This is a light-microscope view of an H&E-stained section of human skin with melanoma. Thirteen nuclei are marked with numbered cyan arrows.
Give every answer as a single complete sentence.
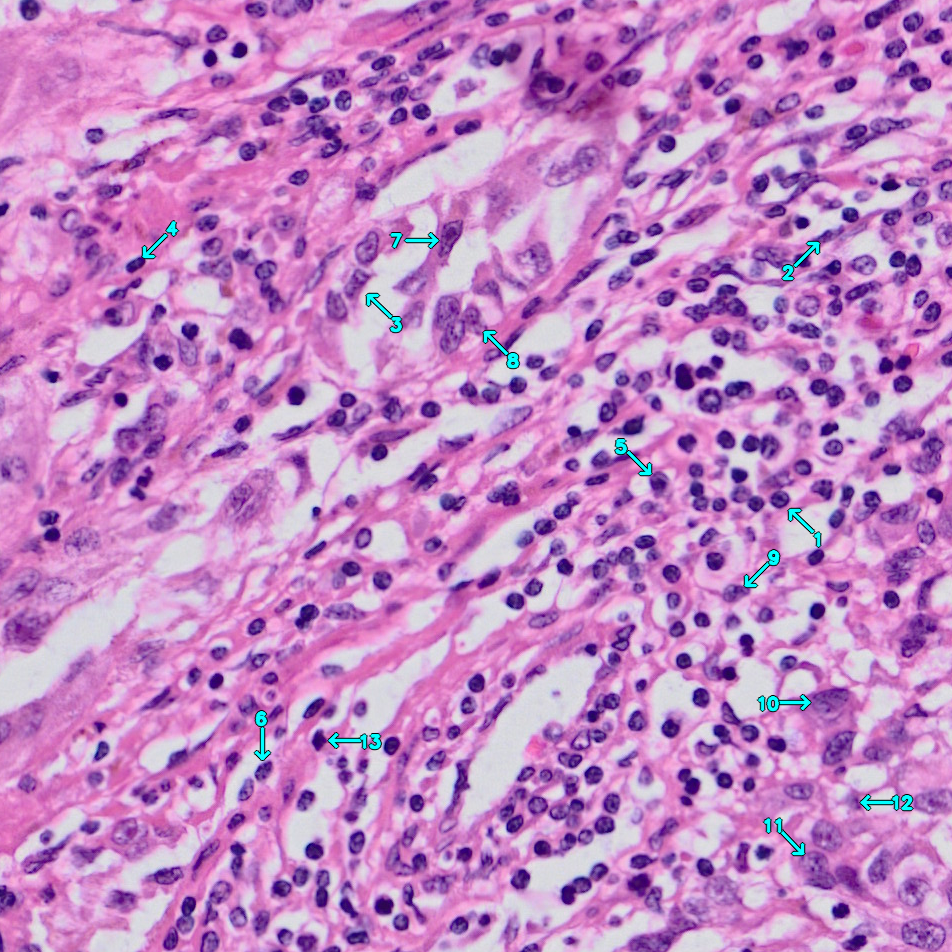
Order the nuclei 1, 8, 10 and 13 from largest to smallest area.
Largest first, the order by area is 10, 8, 1, 13.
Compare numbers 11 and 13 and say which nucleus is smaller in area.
Number 13 is smaller, since number 11 takes up about 2.5 times as much area.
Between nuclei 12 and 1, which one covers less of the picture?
Number 12 is smaller, since number 1 takes up about 1.5 times as much area.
